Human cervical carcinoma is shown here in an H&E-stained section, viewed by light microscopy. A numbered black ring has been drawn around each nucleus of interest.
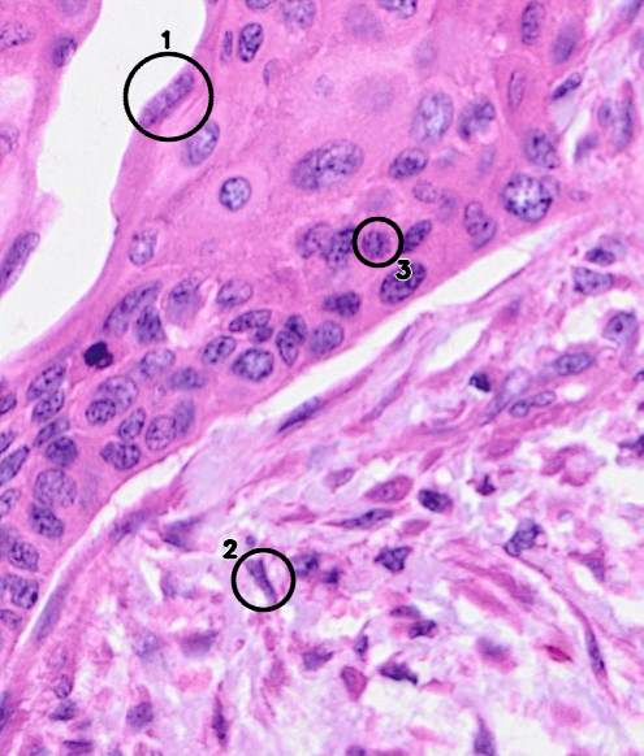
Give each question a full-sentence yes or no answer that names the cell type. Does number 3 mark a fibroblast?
No, cell 3, which is a squamous carcinoma cell, is not a fibroblast.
